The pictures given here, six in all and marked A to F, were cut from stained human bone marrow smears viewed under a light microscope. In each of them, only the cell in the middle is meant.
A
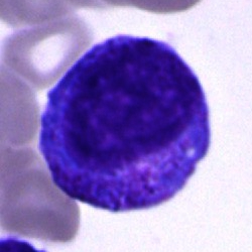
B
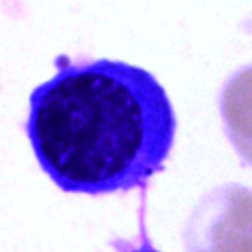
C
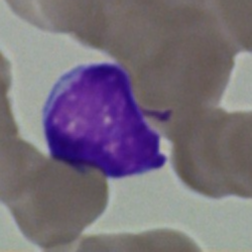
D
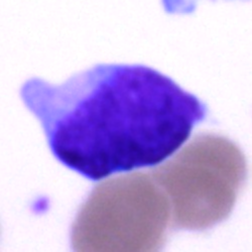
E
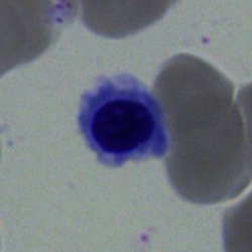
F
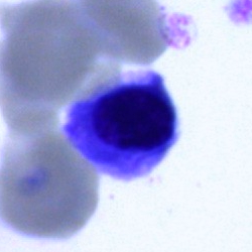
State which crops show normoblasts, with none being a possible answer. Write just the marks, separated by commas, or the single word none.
B, E, F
